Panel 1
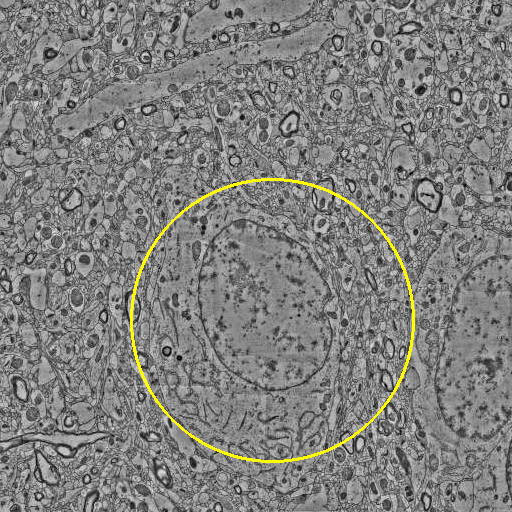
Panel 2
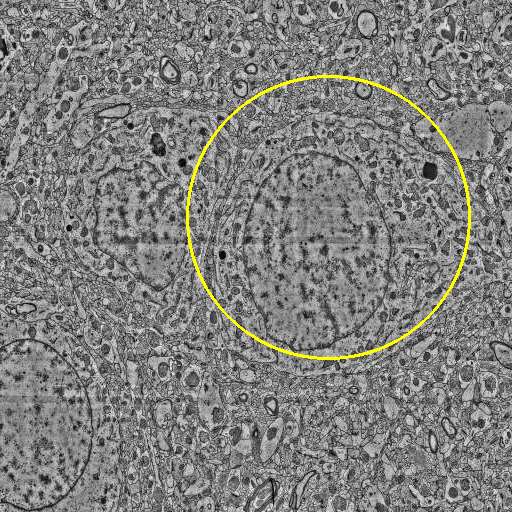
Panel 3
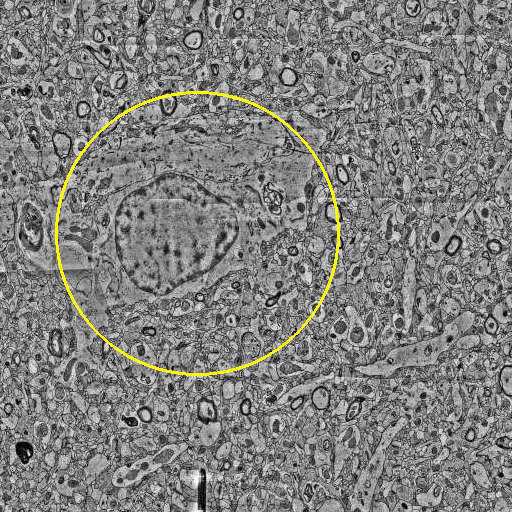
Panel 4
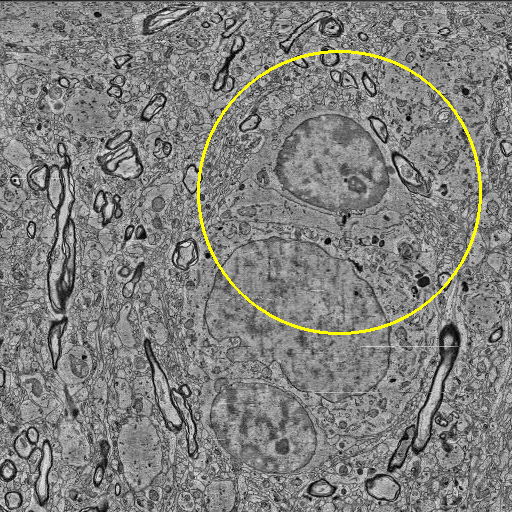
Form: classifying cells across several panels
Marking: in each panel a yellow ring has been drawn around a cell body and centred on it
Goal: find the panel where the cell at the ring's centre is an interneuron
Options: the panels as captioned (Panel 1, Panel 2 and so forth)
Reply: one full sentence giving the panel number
Panel 2 shows the wanted cell at the centre of its ring.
